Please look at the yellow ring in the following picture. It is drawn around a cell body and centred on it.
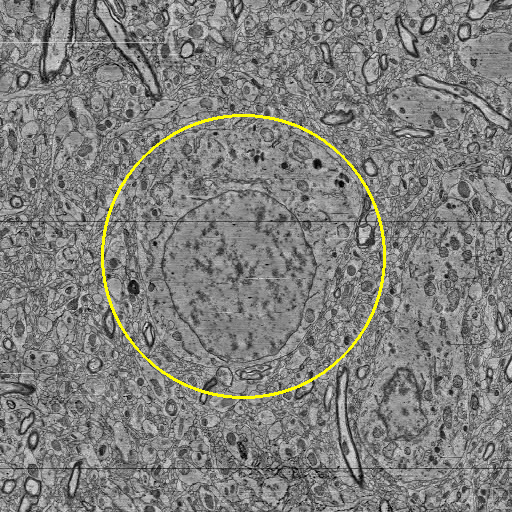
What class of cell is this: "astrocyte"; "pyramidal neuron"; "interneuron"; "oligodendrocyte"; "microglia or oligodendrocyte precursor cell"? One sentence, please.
The ring surrounds the cell body of a pyramidal neuron.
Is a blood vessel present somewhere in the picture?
No, a blood vessel is absent from this picture.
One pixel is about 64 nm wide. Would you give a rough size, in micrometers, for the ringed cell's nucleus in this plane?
In this plane, the nucleus is roughly 11 by 10 micrometres.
